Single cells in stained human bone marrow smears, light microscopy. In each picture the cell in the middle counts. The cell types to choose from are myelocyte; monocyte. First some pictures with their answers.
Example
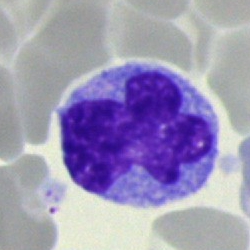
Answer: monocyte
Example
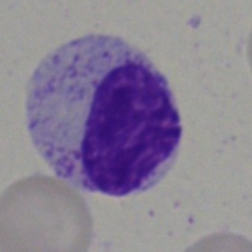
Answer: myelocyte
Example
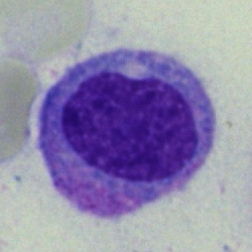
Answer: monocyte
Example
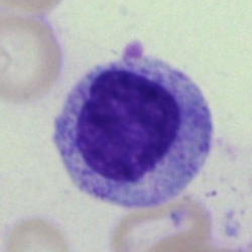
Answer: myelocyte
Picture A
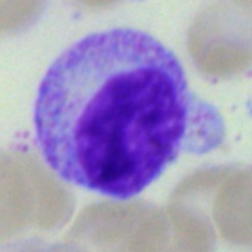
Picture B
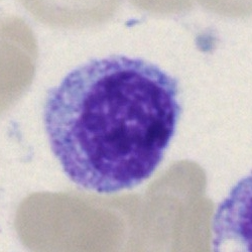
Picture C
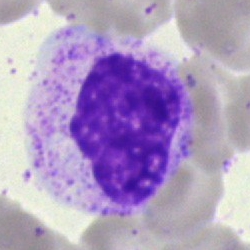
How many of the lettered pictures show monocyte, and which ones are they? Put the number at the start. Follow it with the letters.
0, none of them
